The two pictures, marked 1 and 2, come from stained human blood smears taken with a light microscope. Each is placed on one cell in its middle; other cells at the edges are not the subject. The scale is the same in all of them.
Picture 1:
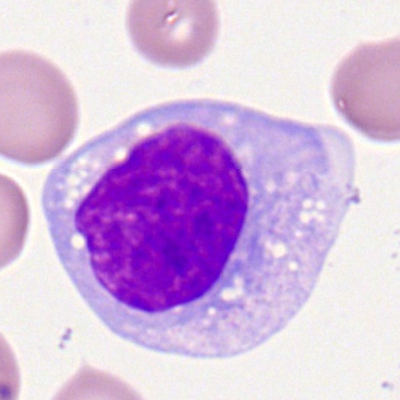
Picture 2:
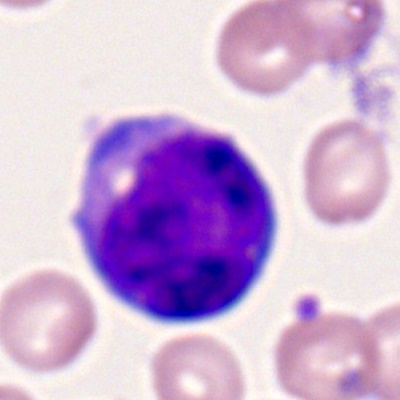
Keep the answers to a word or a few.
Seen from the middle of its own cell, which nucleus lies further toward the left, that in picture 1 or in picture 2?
1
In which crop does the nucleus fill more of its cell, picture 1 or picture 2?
2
